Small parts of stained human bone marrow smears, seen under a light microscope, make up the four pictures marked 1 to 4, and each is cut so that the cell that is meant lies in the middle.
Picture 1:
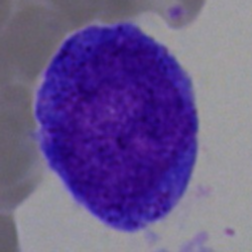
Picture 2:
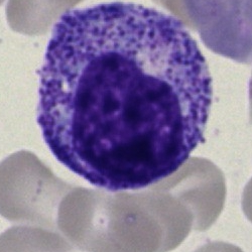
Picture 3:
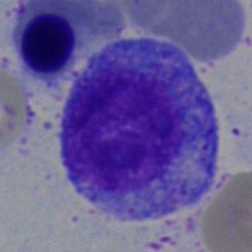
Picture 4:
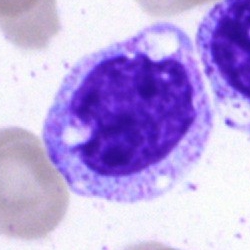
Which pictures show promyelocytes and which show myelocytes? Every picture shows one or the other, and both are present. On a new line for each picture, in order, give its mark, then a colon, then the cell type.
1: promyelocyte
2: promyelocyte
3: promyelocyte
4: myelocyte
